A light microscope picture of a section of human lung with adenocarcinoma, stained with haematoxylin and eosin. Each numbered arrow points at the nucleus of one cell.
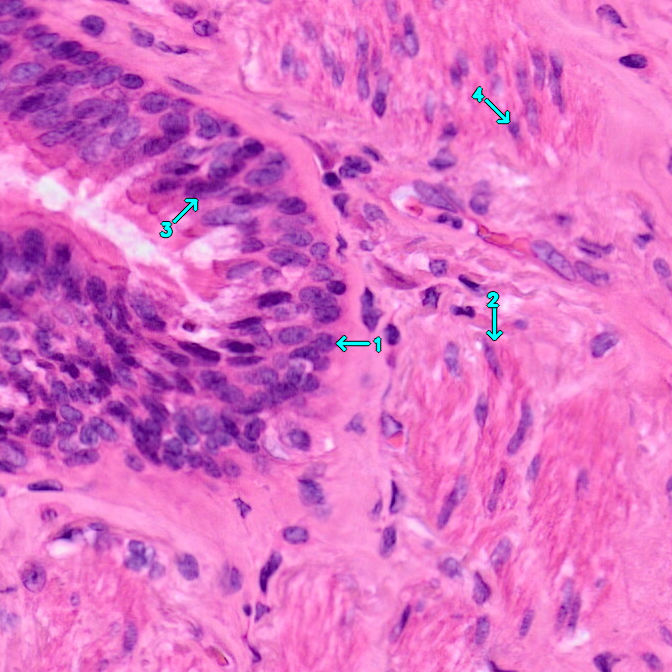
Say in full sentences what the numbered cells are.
Cell 1 is a ciliated epithelial cell, cell 2 is a smooth muscle cell or pericyte, cell 3 is a ciliated epithelial cell and cell 4 is a smooth muscle cell or pericyte.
